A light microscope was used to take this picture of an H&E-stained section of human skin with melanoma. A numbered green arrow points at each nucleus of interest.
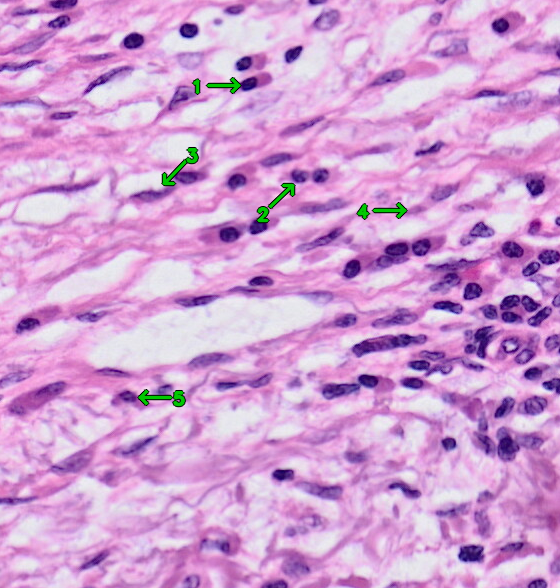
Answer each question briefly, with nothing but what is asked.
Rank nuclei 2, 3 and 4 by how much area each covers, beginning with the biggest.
3, 2, 4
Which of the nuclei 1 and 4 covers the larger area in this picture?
1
